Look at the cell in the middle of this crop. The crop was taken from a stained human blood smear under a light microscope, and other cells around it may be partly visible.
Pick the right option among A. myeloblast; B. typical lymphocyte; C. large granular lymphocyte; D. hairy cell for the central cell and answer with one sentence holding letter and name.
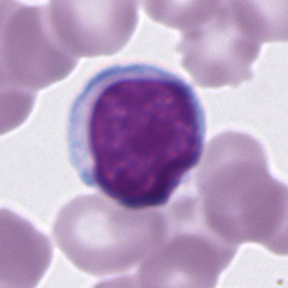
Answer key: option B, the middle cell being a typical lymphocyte.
